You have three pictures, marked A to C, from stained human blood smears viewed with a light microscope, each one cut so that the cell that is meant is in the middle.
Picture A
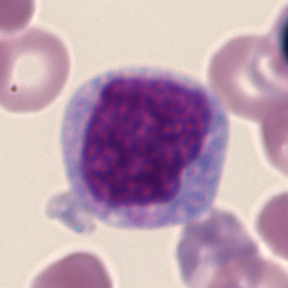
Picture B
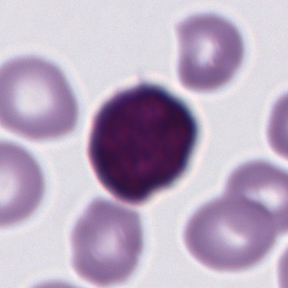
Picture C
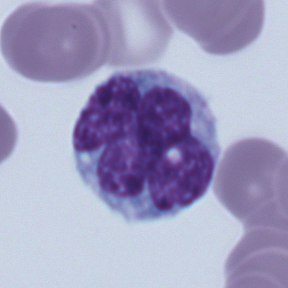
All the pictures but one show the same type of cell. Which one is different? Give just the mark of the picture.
B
